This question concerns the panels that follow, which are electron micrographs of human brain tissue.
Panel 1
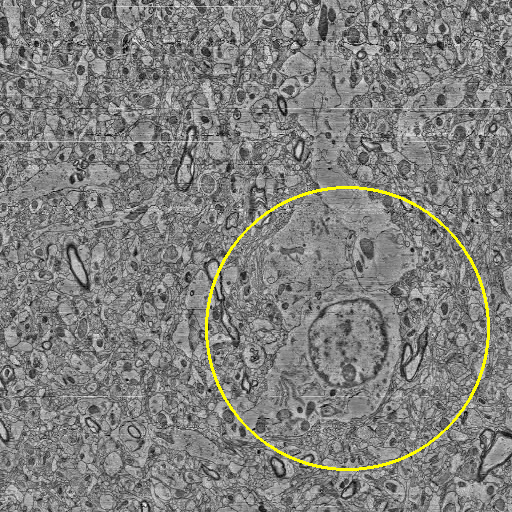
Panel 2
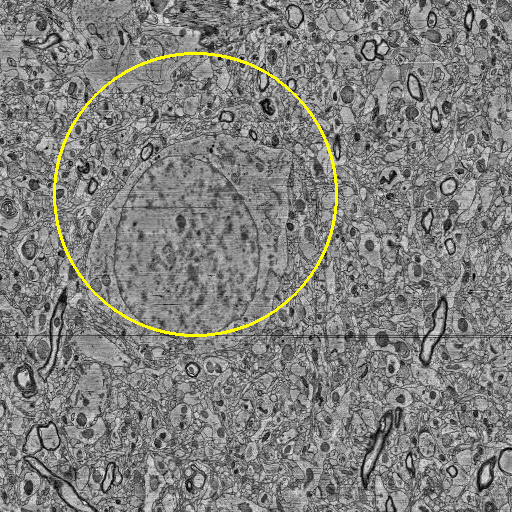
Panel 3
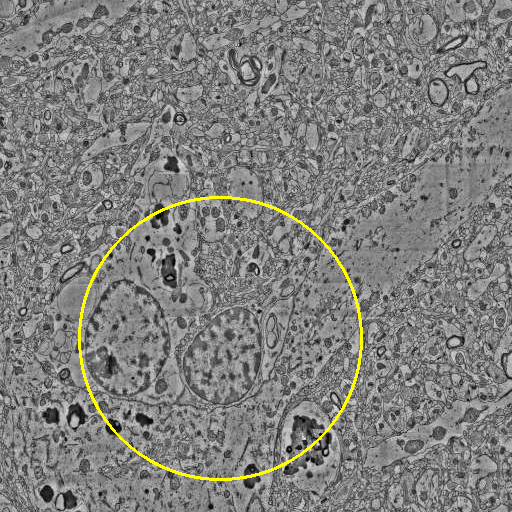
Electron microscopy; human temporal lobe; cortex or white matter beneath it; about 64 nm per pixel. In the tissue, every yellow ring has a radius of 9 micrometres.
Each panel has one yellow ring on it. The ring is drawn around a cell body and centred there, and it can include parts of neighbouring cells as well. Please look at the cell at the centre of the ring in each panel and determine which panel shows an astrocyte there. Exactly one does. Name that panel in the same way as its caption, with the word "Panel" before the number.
Panel 1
